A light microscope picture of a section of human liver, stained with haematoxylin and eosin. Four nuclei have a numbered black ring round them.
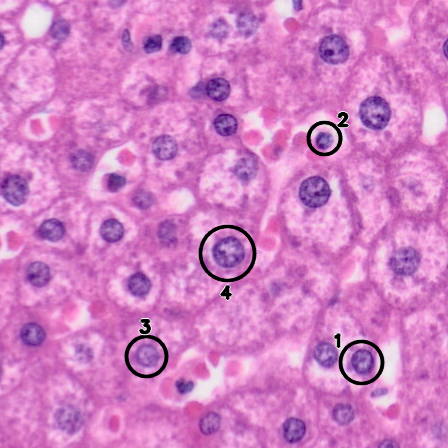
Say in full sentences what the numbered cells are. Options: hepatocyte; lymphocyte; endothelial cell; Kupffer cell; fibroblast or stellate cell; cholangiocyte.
Cells 1, 3 and 4 are hepatocytes. Cell 2 is a lymphocyte.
